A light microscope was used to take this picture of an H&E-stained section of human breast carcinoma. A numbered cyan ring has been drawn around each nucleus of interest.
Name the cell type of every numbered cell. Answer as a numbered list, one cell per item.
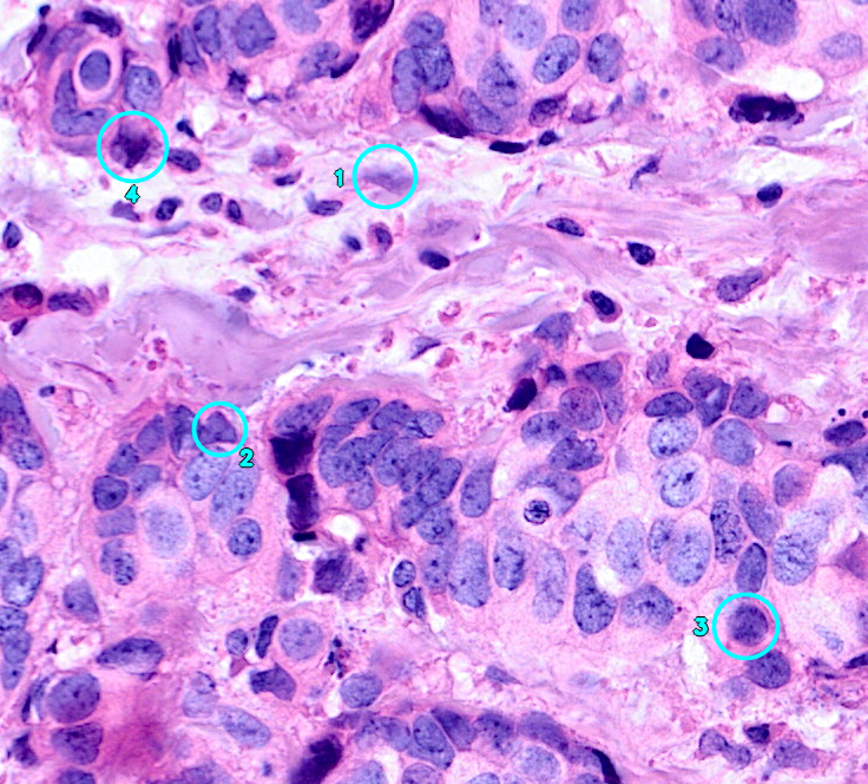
1. fibroblast
2. carcinoma cell
3. carcinoma cell
4. carcinoma cell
